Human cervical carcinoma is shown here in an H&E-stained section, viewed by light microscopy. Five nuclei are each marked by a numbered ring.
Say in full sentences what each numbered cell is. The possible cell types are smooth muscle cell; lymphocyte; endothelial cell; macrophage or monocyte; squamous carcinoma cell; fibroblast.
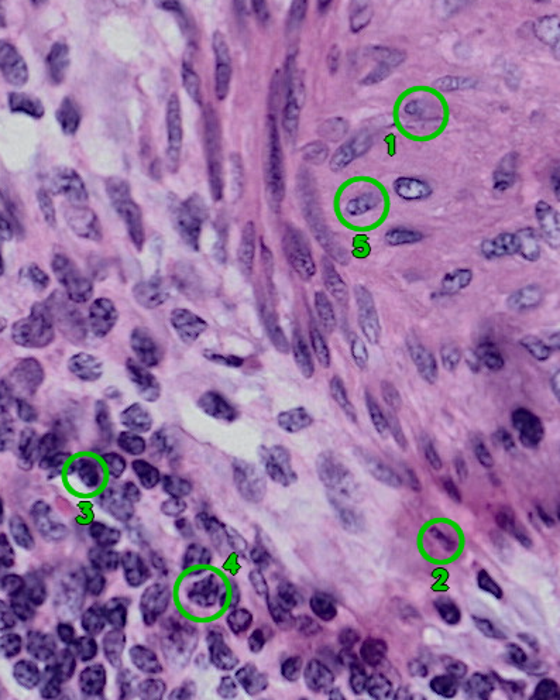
Cell 1 is a smooth muscle cell, cell 2 is an endothelial cell, cell 3 is a lymphocyte, cell 4 is a lymphocyte and cell 5 is a smooth muscle cell.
